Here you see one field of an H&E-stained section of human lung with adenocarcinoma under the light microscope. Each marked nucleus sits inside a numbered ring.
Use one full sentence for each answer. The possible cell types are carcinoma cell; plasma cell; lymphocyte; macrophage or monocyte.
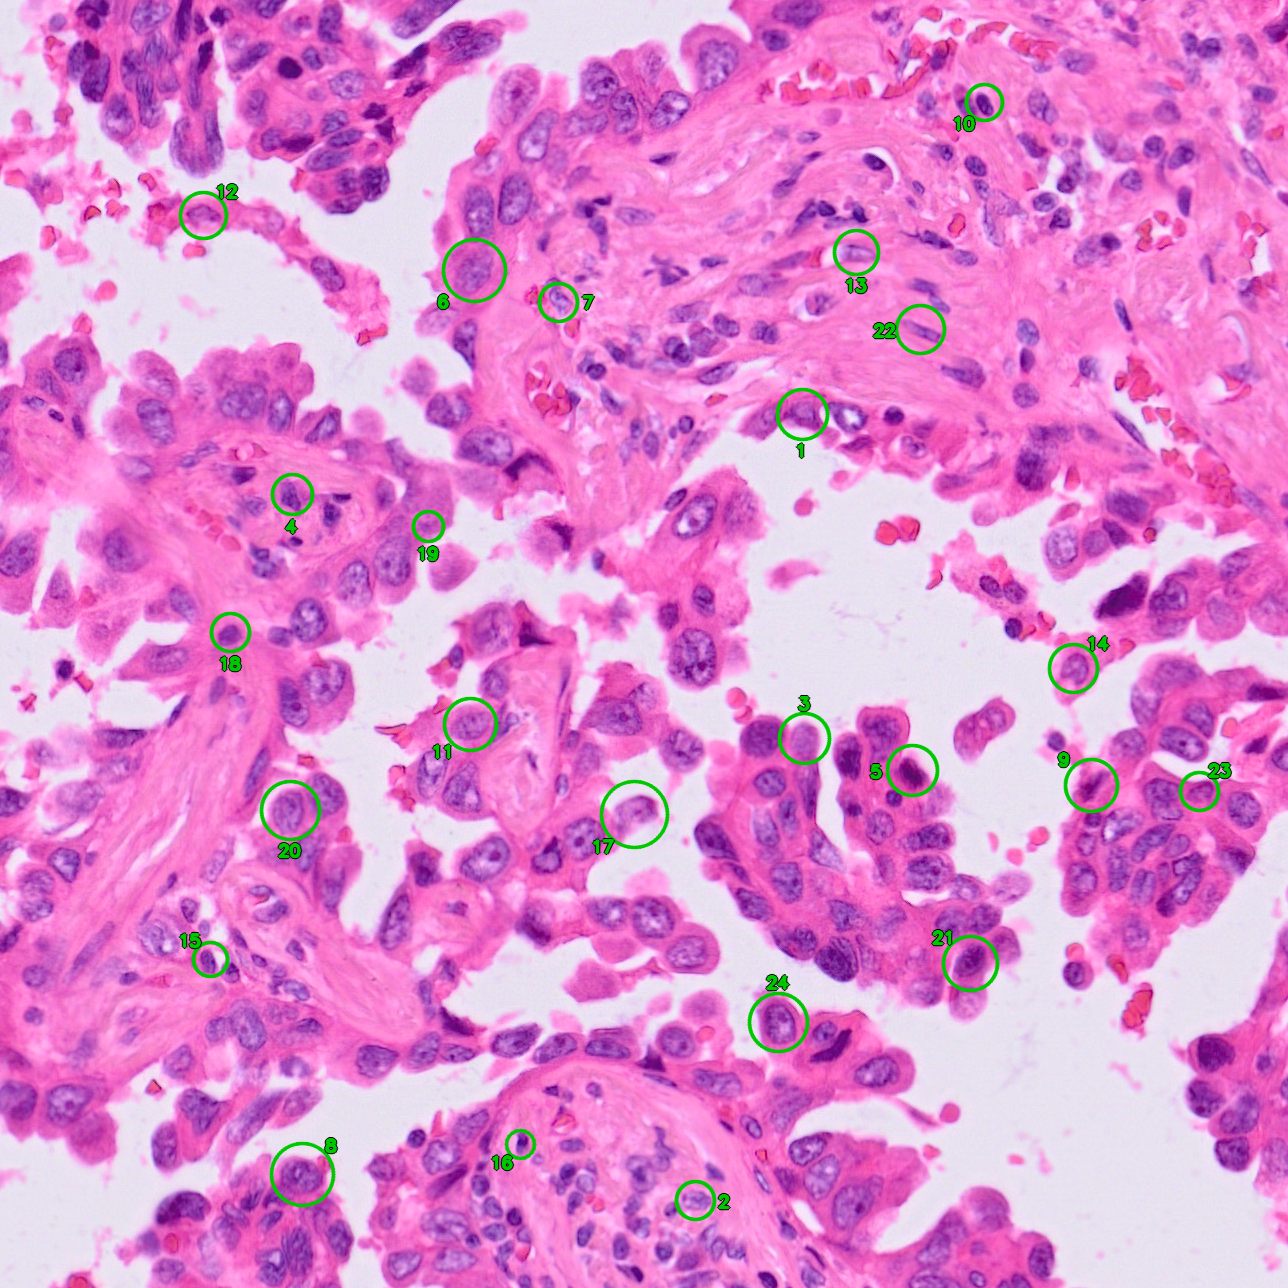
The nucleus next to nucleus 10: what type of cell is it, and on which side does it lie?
A plasma cell lies closest, to the left of nucleus 10.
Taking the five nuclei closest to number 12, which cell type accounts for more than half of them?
Carcinoma cells make up most of the five nuclei closest to number 12.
